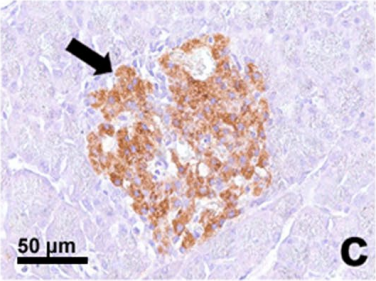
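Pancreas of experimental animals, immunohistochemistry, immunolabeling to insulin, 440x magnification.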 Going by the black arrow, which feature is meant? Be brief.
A: Pancreatic islets.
